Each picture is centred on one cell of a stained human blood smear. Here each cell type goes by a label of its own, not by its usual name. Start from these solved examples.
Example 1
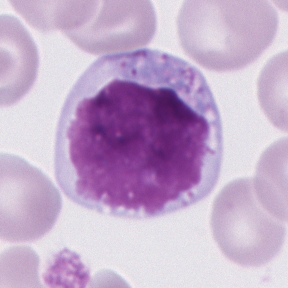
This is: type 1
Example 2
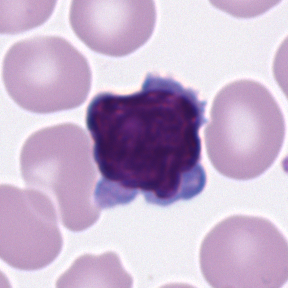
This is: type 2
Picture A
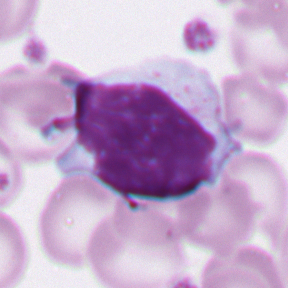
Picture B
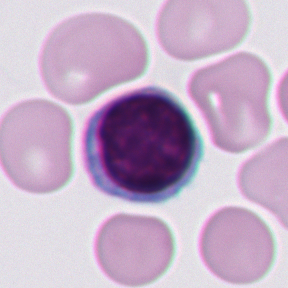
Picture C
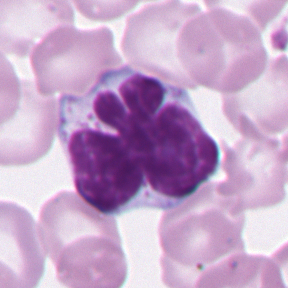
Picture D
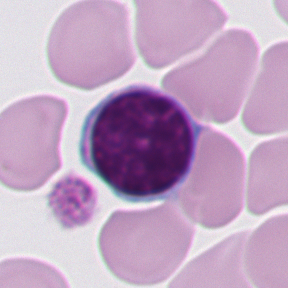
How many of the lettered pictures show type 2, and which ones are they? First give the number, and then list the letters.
2: B, D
